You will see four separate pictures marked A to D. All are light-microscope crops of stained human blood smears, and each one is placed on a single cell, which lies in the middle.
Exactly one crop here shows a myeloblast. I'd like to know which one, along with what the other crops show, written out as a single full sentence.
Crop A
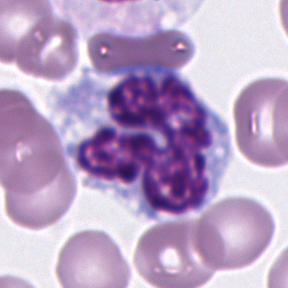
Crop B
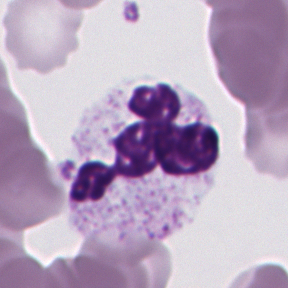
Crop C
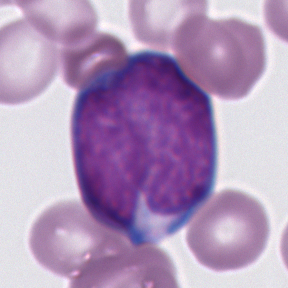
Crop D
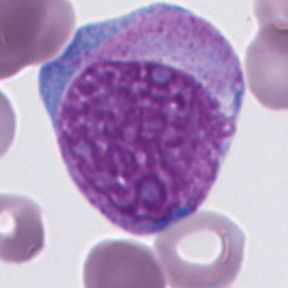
So crop C shows a myeloblast, while crop A is a monocyte, crop B is a segmented neutrophil and crop D is an atypical promyelocyte.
